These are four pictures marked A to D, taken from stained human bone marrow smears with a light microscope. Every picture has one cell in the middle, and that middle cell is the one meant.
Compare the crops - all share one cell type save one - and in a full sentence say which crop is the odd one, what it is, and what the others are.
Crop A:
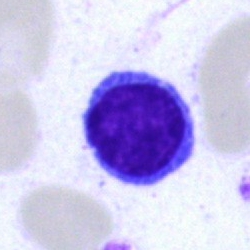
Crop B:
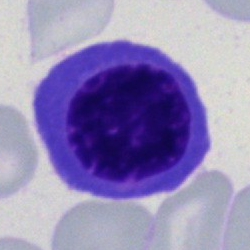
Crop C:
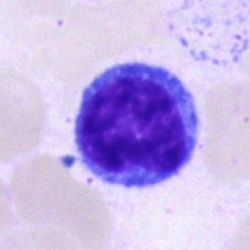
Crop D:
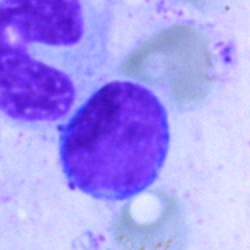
In this set the other crops all show lymphocytes, and crop B shows an erythroblast.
